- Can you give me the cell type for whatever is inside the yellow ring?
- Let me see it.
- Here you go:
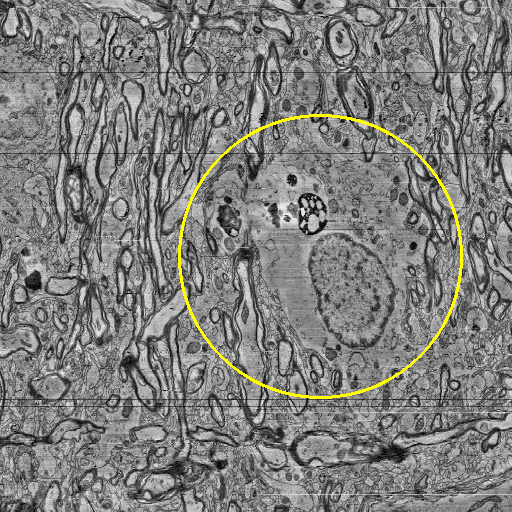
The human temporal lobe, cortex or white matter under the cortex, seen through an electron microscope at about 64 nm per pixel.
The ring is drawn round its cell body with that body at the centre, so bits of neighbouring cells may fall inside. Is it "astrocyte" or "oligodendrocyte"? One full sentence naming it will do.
The cell body in the middle of the ring in this picture belongs to an astrocyte.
